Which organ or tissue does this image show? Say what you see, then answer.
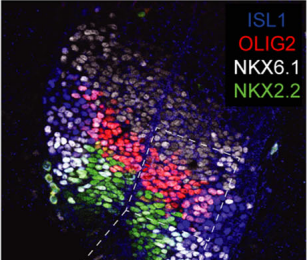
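Spinal cord. A rounded cross section of densely packed nuclei. Coloured nuclear populations form bands stacked along one axis of the section.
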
